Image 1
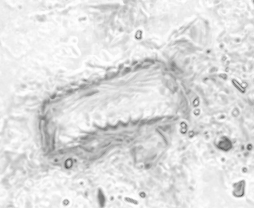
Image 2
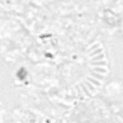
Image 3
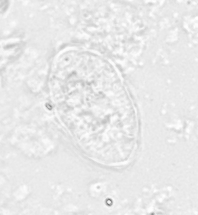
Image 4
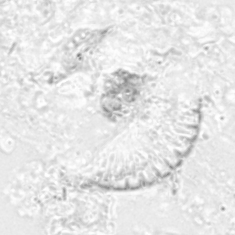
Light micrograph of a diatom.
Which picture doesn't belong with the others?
Picture 3.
